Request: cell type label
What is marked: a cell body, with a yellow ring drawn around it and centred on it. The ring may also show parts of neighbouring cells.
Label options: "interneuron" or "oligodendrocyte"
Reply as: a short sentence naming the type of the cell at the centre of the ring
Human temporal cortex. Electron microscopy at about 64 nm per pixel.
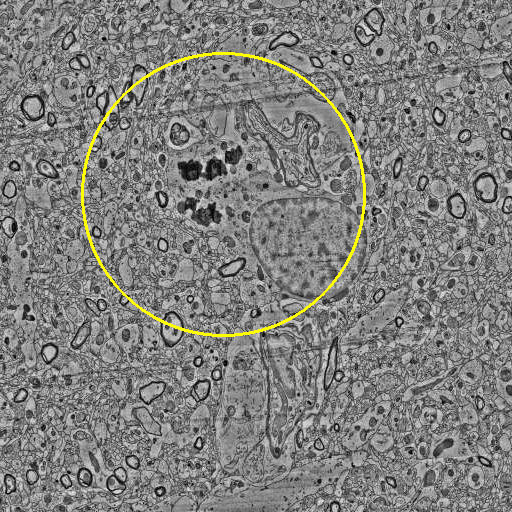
The marked cell body is that of an oligodendrocyte.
